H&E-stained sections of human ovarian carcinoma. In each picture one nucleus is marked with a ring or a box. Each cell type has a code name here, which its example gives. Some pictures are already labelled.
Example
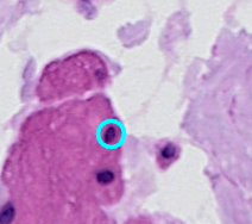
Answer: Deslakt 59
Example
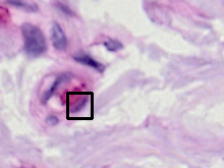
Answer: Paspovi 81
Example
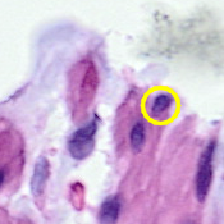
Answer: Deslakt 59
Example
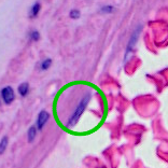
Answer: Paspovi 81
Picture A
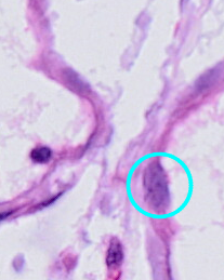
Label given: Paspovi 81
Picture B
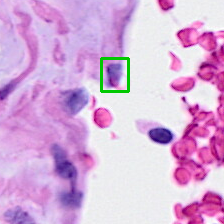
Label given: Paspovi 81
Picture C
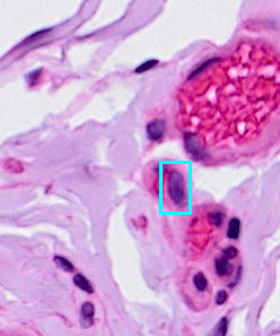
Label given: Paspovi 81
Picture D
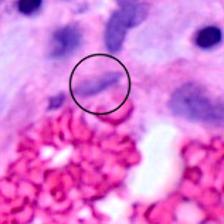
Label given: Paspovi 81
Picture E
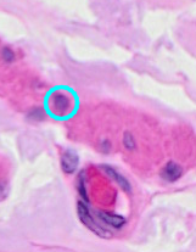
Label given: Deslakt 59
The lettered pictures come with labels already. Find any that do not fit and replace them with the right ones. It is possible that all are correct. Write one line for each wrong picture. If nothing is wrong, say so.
None of the labels needs changing.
